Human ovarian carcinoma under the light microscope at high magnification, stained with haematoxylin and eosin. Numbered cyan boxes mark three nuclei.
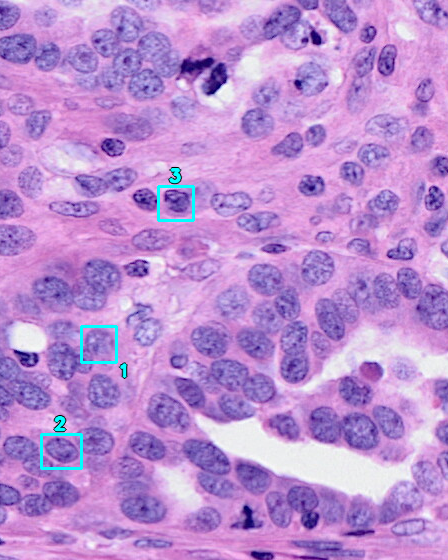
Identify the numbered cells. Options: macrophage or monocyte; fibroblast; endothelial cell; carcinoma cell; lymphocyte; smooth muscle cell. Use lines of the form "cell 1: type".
cell 1: carcinoma cell
cell 2: carcinoma cell
cell 3: lymphocyte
